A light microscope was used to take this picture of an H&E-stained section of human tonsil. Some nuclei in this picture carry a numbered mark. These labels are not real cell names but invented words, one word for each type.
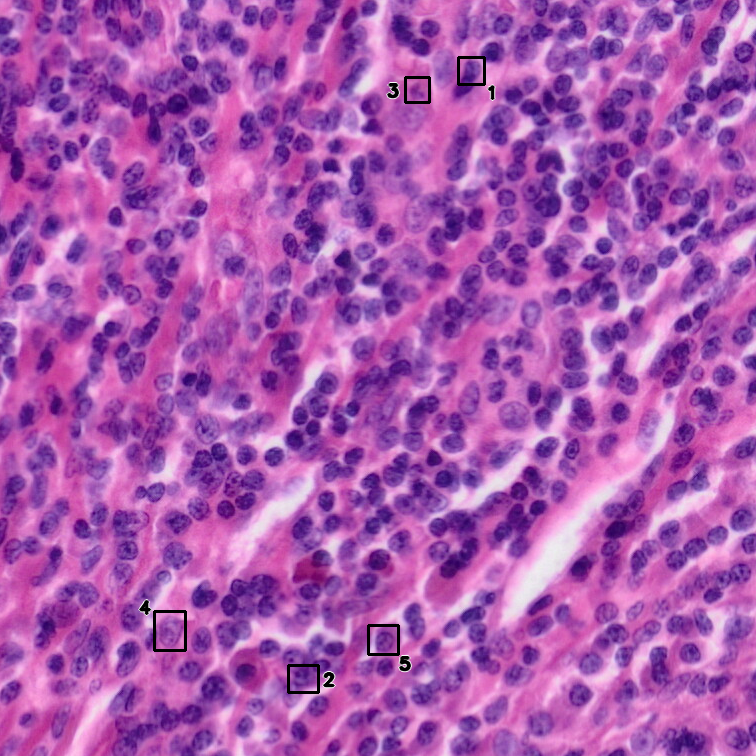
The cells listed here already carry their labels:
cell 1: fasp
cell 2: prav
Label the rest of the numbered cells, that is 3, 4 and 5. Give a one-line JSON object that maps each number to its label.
{"3": "fasp", "4": "fasp", "5": "prav"}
